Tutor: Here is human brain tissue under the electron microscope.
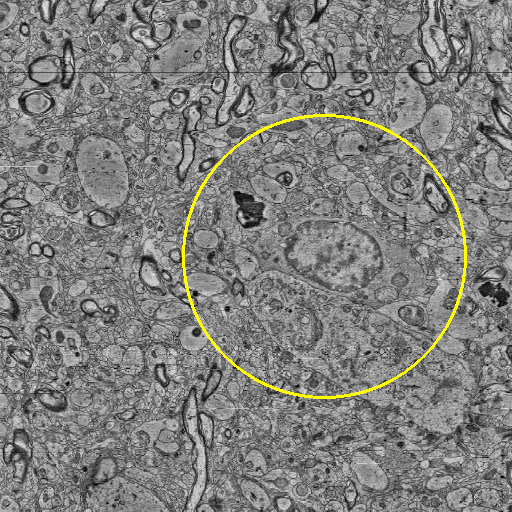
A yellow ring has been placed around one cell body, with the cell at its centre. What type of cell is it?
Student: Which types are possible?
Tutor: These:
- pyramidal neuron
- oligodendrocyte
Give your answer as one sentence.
What the ring picks out here is an oligodendrocyte.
